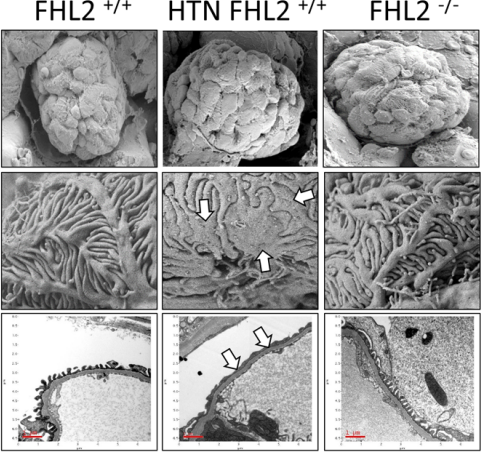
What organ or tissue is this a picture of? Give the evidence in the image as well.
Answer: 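The low-magnification scanning images show rounded tufts of looped capillaries. The capillary loops are covered by cells with branching interlocking processes.
Hence: glomeruli.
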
